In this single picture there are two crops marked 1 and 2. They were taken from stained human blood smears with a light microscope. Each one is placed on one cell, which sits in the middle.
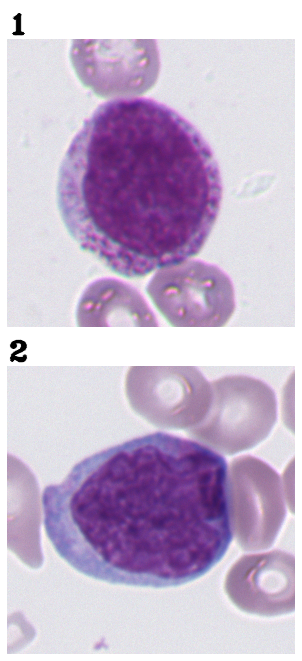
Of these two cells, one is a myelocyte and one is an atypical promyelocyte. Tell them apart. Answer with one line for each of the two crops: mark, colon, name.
1: myelocyte
2: atypical promyelocyte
